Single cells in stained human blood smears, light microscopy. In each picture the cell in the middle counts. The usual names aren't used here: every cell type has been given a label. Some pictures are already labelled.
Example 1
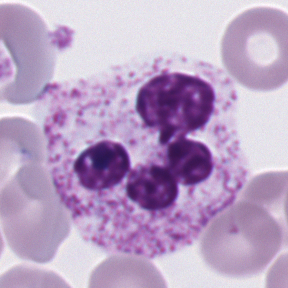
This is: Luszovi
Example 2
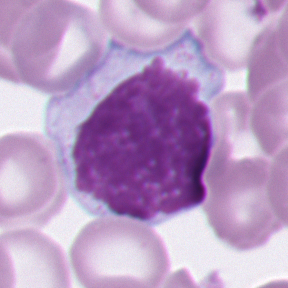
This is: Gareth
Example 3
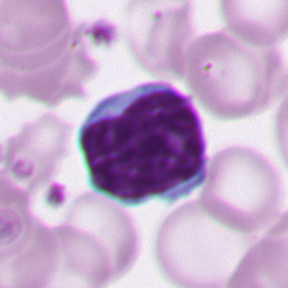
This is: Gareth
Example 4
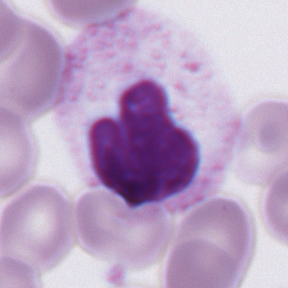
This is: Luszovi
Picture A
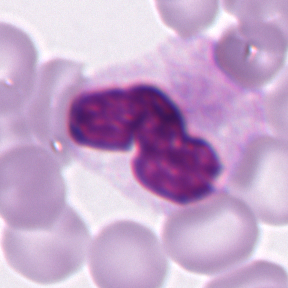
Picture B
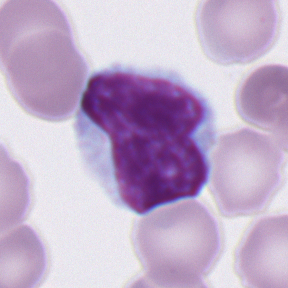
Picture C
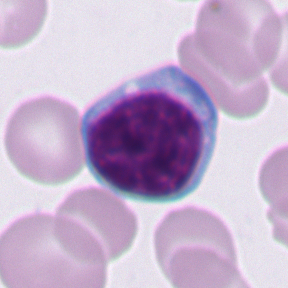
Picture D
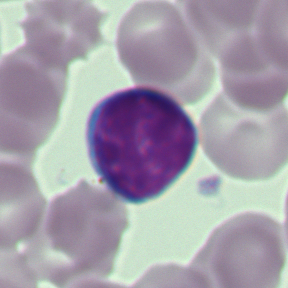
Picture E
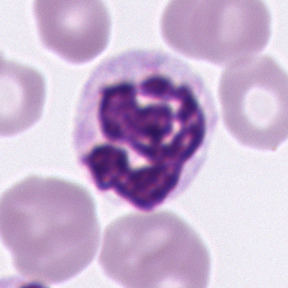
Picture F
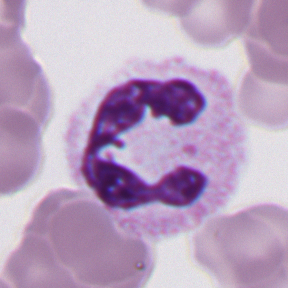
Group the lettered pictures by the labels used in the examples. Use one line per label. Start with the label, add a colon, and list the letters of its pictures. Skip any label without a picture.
Luszovi: A, E, F
Gareth: B, C, D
